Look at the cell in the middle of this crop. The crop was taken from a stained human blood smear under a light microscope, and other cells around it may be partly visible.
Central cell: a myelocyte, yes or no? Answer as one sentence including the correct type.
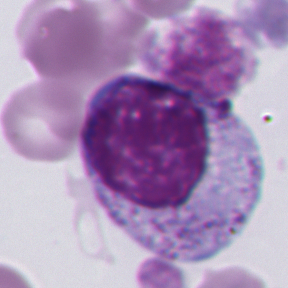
Yes, the cell that lies centrally is a myelocyte.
